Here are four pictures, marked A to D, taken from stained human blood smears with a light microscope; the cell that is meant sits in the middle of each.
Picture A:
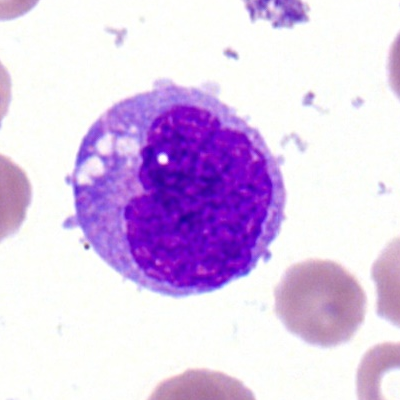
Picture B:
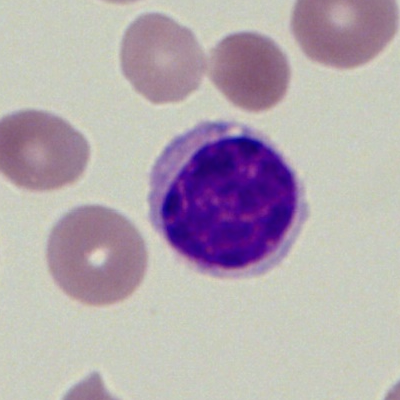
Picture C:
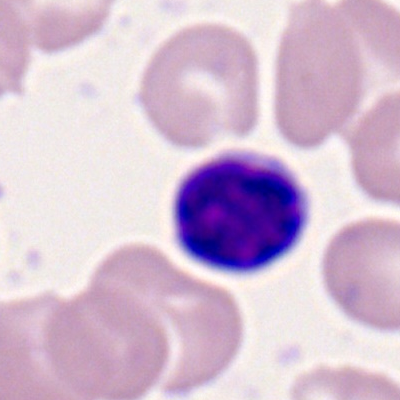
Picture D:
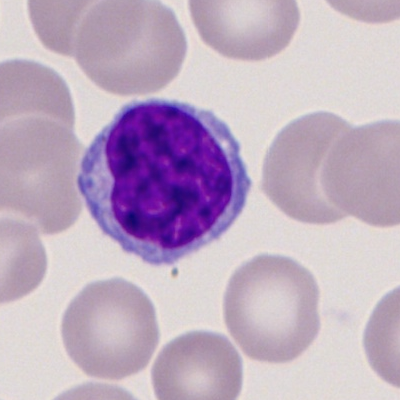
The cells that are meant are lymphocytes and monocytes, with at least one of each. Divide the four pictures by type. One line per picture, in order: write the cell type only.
monocyte
lymphocyte
lymphocyte
lymphocyte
